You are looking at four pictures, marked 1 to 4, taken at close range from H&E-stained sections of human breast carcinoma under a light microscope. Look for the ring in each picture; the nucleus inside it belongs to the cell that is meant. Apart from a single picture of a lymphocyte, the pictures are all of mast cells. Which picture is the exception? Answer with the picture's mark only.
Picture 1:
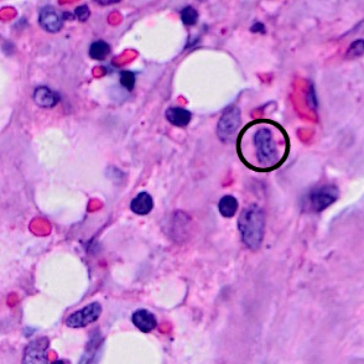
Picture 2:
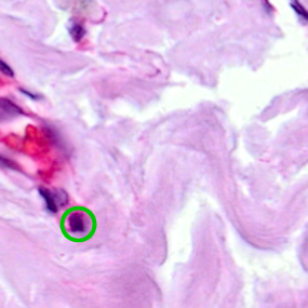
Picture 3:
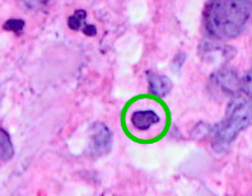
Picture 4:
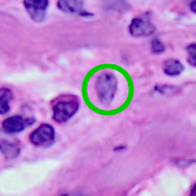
3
